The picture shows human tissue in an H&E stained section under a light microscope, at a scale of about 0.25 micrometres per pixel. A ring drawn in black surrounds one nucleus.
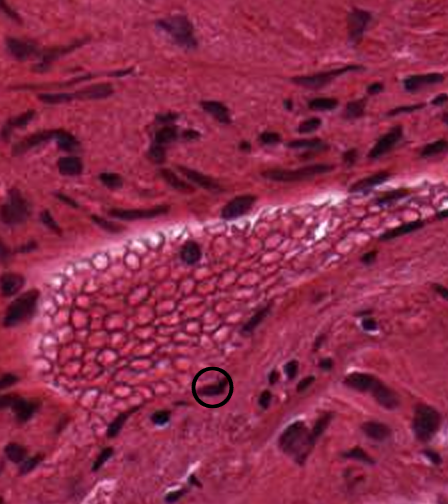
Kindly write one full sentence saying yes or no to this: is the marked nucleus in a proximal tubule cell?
No, the marked nucleus is the nucleus of a supporting cell rather than of a proximal tubule cell.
